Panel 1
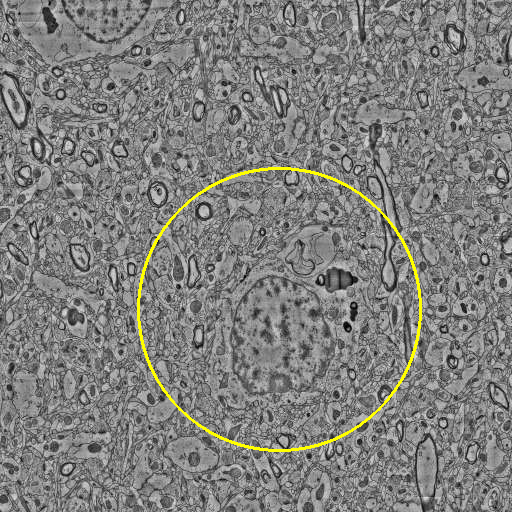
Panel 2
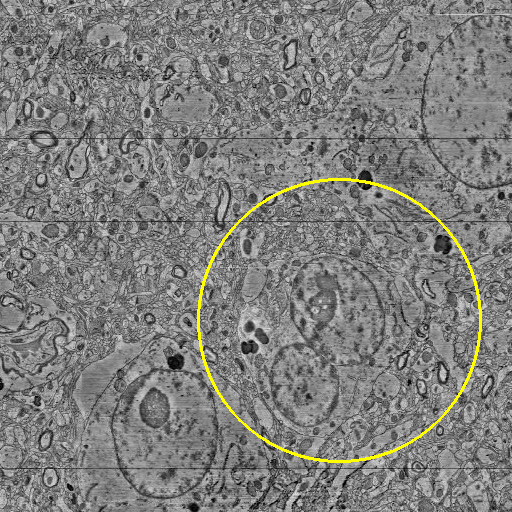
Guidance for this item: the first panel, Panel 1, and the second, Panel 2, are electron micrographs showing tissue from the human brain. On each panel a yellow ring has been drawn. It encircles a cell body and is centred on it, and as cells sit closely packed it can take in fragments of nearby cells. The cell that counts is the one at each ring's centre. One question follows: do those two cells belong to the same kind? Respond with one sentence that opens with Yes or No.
Yes, the cells at the ring centres in Panel 1 and Panel 2 are of one kind.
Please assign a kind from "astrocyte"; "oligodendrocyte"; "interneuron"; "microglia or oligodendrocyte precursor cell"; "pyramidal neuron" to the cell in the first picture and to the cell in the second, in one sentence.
Each of the two rings is centred on an interneuron.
